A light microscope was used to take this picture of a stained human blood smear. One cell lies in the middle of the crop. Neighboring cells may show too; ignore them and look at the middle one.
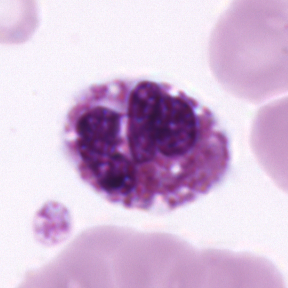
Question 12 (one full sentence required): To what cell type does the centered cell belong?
The crop shows an eosinophil in its centre.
